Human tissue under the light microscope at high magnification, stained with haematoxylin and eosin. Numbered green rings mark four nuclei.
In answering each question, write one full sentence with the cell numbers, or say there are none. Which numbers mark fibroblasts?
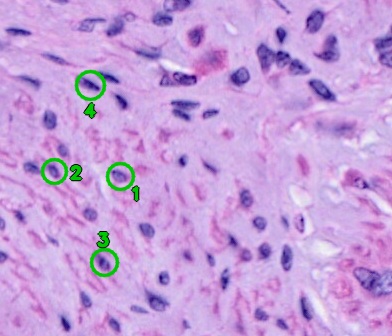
Cell 4 is a fibroblast; every other numbered cell is something else.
